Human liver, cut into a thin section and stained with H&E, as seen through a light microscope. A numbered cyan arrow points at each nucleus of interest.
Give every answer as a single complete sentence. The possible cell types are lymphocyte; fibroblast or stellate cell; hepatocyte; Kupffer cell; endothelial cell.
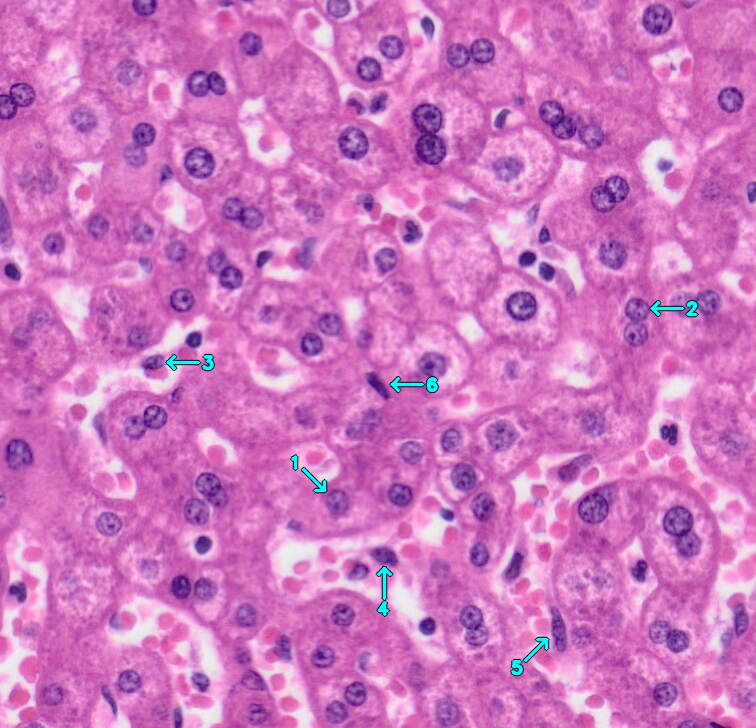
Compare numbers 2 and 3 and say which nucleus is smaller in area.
With nucleus 2 about 1.5 times its size, nucleus 3 is the smaller of the two.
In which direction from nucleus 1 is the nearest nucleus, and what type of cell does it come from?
The nearest nucleus is that of a fibroblast or stellate cell and lies below and to the left of nucleus 1.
